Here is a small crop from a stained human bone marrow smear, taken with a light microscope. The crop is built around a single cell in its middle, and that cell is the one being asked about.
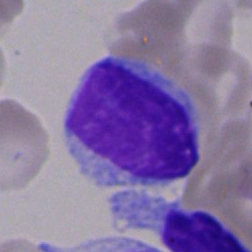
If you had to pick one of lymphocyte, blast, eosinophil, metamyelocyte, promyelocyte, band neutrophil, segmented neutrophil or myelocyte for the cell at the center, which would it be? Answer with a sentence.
The centrally placed cell is classified as a lymphocyte.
